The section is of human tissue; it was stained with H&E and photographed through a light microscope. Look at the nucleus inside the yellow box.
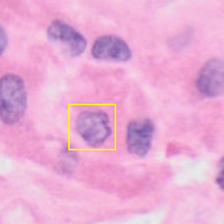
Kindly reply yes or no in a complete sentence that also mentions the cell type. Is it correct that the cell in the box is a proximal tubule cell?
Yes, the cell in the box has been classified as a proximal tubule cell.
